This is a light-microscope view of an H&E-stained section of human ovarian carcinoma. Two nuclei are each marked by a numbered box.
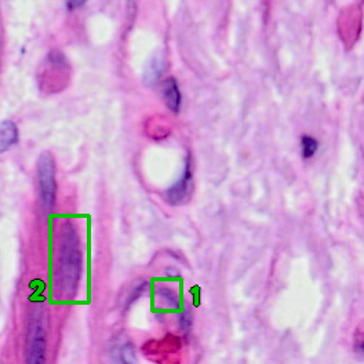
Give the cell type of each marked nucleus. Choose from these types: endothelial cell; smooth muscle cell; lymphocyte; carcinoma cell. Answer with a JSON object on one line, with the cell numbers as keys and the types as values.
{"1": "endothelial cell", "2": "smooth muscle cell"}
